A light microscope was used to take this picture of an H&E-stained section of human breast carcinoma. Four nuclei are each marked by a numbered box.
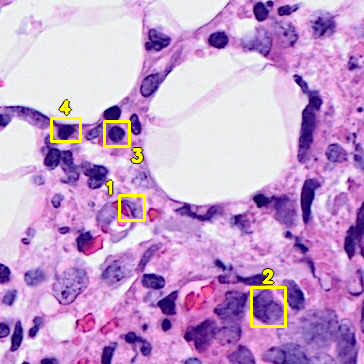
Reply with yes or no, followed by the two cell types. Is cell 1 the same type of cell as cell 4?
No, cell 1 is an endothelial cell and cell 4 is a lymphocyte.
